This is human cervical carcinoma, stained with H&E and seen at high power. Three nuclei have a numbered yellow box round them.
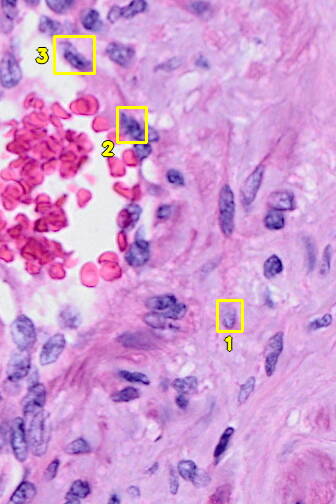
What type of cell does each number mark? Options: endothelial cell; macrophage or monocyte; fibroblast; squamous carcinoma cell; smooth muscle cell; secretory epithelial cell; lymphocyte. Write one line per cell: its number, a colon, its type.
1: smooth muscle cell
2: endothelial cell
3: endothelial cell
